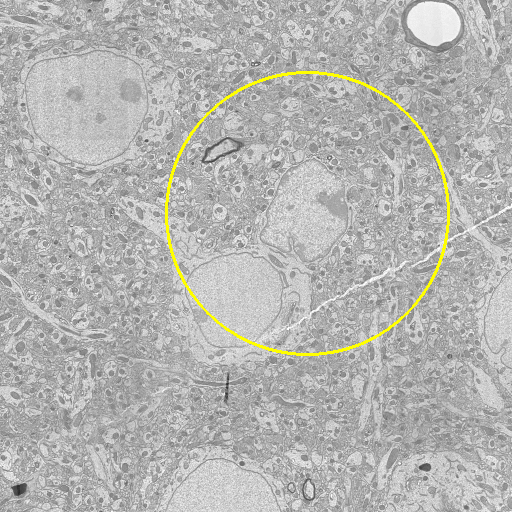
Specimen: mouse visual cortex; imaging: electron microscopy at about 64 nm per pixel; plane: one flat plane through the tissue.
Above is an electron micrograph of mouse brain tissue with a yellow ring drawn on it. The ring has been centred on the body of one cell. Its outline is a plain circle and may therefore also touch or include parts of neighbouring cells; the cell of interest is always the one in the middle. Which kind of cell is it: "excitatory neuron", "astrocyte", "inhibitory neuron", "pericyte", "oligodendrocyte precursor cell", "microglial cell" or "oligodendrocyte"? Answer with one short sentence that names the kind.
The ring's central cell body is that of an oligodendrocyte precursor cell.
